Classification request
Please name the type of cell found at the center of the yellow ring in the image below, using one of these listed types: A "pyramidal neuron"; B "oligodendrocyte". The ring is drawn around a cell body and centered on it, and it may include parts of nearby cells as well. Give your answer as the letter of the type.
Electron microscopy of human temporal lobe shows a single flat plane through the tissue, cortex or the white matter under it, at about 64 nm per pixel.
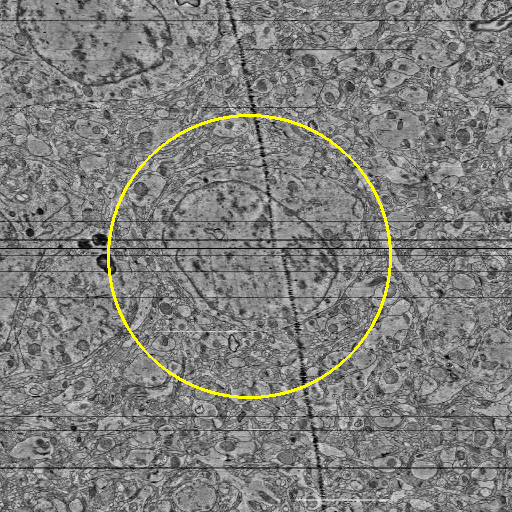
A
